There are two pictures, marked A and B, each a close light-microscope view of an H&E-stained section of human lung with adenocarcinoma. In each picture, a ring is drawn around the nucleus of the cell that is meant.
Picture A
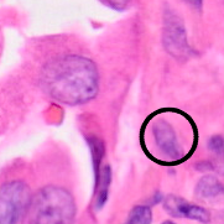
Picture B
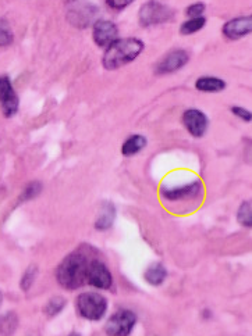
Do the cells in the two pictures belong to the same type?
no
